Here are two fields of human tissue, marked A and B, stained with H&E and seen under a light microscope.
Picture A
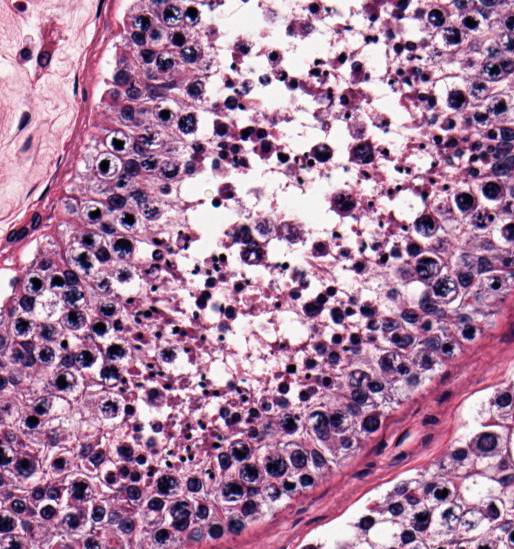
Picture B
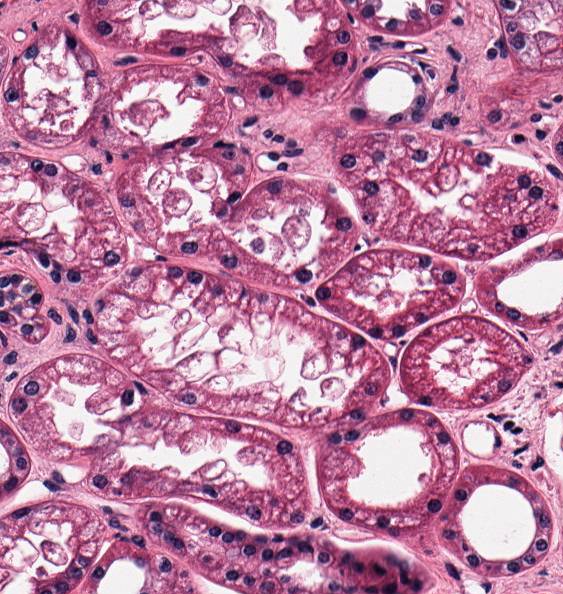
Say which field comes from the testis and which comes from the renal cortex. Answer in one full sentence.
Picture A comes from the testis; picture B comes from the renal cortex.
